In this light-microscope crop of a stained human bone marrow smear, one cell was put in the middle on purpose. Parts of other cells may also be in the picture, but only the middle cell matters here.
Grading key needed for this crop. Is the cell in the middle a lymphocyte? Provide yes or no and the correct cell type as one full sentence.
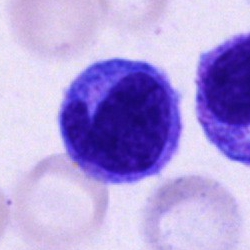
No, the centre of the crop contains a monocyte rather than a lymphocyte.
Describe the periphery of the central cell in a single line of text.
In short, the margin is smooth with no projections at all.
